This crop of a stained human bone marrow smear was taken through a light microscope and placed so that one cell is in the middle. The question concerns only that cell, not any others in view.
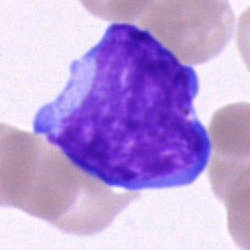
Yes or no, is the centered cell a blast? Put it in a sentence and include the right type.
Yes, the cell found in the middle is a blast.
